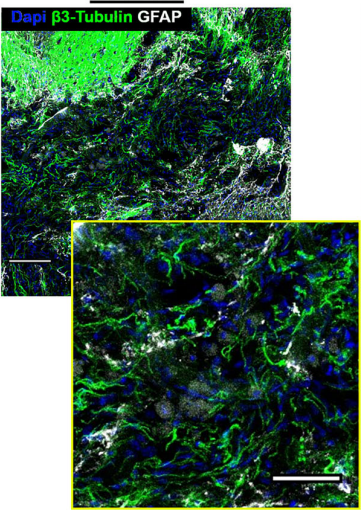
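Brightly green tissue lies at the top edge, and irregular white profiles are scattered among the fibres. In the enlarged inset the axons appear as short, curling threads between the nuclei.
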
